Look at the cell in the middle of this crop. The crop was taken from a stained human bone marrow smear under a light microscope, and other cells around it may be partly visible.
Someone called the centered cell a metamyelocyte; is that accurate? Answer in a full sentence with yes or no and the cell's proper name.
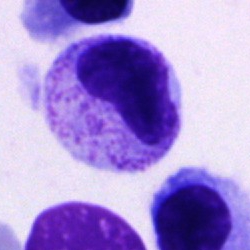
Yes, the cell right in the middle is a metamyelocyte.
